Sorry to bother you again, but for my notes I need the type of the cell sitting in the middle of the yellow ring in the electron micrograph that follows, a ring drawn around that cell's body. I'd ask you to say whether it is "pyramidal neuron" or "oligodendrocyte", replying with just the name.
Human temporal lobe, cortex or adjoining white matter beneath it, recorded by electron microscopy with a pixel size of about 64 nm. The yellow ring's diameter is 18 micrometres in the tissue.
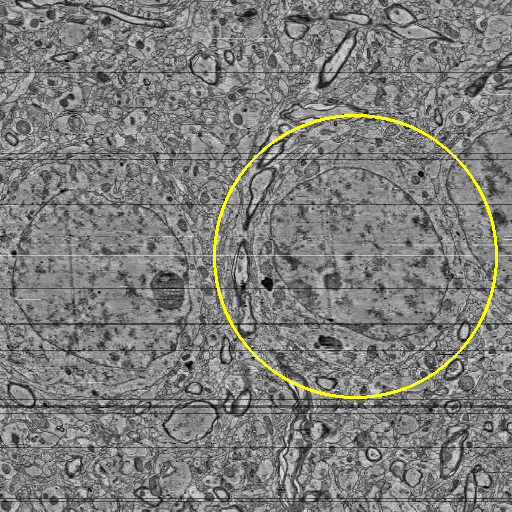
pyramidal neuron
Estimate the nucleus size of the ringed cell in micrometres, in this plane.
Approximately 13 micrometres long and 11 micrometres wide, in this plane.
